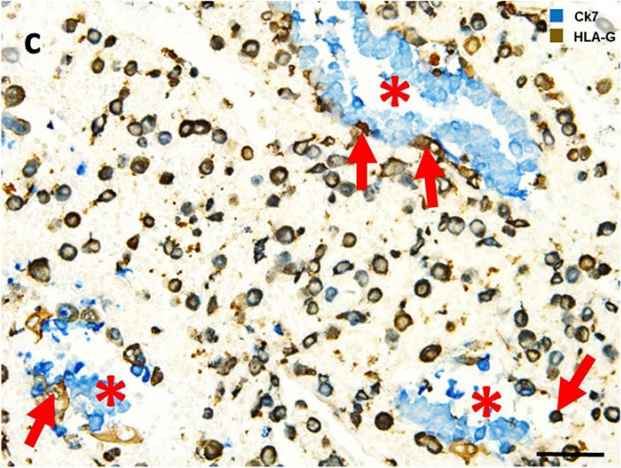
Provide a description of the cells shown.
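This is decidual stroma crowded with invading extravillous trophoblast cells, seen as many round to polygonal cells with dark brown rims and pale centres. Several glands are lined by blue-stained epithelium, and brown cells press against and into this lining from the stromal side. Where the brown cells reach the glands, the blue epithelial lining looks broken up and irregular.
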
